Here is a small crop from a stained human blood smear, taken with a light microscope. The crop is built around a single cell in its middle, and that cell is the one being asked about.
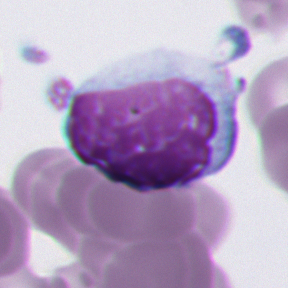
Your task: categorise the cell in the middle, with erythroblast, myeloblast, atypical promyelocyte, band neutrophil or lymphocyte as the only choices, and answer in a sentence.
The cell featured at the centre of this crop is a lymphocyte.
